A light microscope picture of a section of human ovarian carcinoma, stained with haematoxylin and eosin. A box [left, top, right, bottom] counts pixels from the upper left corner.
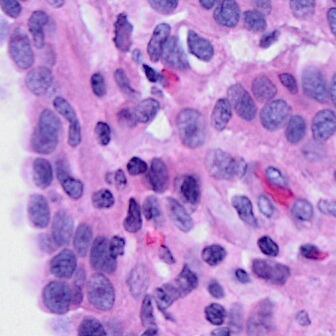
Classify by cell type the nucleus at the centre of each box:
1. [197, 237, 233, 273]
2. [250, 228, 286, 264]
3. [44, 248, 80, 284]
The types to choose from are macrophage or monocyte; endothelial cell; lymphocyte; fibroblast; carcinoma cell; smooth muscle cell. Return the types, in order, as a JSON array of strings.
["lymphocyte", "lymphocyte", "carcinoma cell"]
